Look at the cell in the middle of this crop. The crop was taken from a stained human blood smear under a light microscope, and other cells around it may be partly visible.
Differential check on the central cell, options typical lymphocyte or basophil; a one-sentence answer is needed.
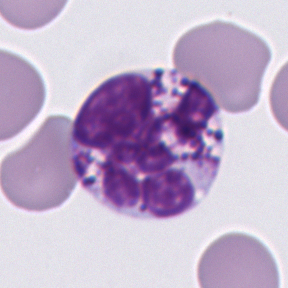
The cell under consideration, at the middle of the crop, is a basophil.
